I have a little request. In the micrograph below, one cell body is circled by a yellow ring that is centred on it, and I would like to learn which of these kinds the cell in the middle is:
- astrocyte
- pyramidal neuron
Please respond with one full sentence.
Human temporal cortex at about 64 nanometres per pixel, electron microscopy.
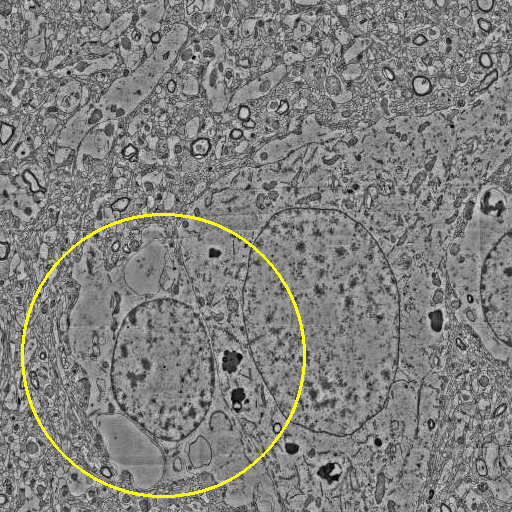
The cell sitting in the middle of the yellow ring in the micrograph is an astrocyte.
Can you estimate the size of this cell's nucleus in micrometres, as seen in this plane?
Approximately 9 x 7 micrometres in this plane.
